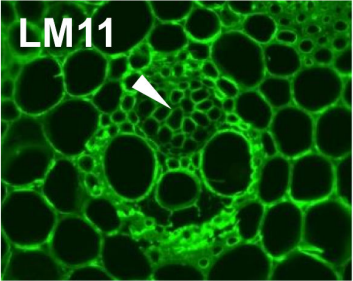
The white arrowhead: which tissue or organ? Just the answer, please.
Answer: Phloem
